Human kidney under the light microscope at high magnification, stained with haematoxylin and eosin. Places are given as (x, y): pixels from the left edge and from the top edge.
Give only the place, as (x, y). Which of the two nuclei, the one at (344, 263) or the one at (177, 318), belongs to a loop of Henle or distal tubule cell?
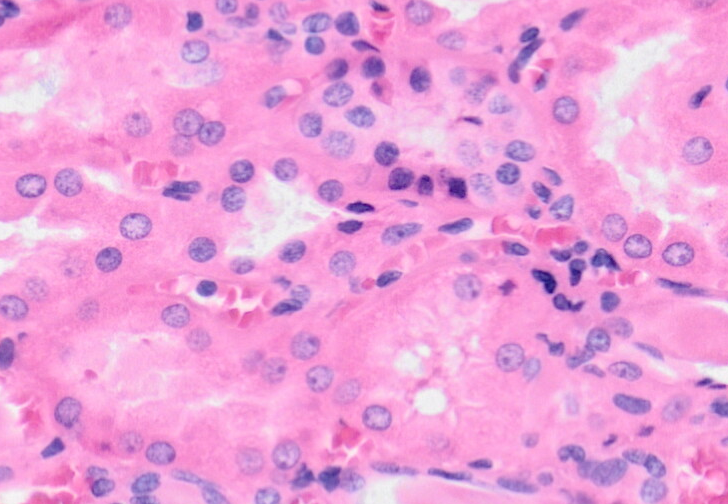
(344, 263)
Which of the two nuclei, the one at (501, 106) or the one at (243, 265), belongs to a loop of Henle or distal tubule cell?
(243, 265)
